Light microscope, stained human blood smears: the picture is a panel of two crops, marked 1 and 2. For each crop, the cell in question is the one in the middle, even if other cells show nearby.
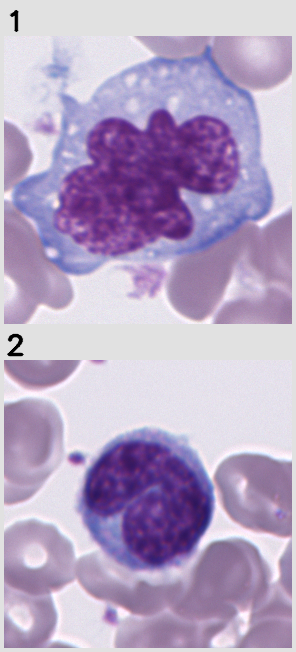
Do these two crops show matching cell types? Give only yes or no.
yes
